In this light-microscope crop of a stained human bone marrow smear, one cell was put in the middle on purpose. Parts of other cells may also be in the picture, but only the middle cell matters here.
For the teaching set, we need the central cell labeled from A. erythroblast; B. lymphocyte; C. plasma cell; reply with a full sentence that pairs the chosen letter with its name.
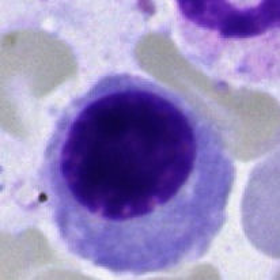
As the central cell is an erythroblast, option A is correct.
